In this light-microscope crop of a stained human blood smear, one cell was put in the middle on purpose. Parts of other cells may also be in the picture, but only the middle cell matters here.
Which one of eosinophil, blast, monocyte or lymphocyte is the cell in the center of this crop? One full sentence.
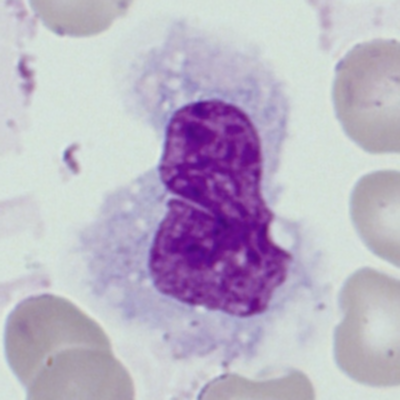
The crop shows a monocyte in its centre.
